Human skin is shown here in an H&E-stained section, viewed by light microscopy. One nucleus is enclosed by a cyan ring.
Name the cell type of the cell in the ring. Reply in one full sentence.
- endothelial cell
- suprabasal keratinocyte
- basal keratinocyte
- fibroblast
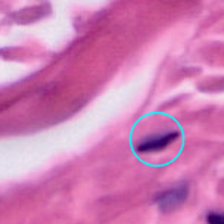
In the tissue under study, the cell in the ring is a fibroblast.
